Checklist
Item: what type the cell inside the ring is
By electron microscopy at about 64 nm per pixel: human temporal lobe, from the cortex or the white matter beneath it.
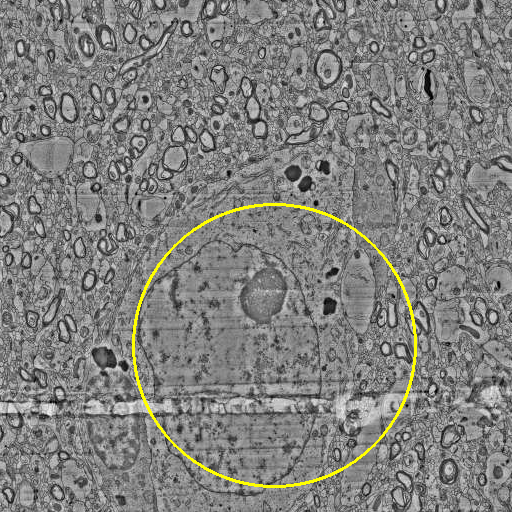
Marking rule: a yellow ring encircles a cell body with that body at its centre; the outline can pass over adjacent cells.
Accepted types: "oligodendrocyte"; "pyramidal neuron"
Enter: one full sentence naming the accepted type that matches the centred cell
The entry is that a pyramidal neuron lies at the centre of the yellow ring.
